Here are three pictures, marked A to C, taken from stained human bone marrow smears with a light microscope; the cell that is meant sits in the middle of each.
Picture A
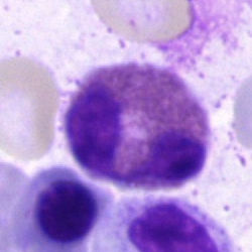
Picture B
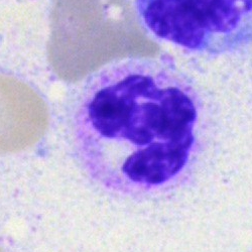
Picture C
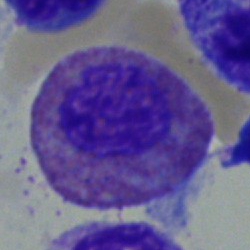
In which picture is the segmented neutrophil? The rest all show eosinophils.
B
